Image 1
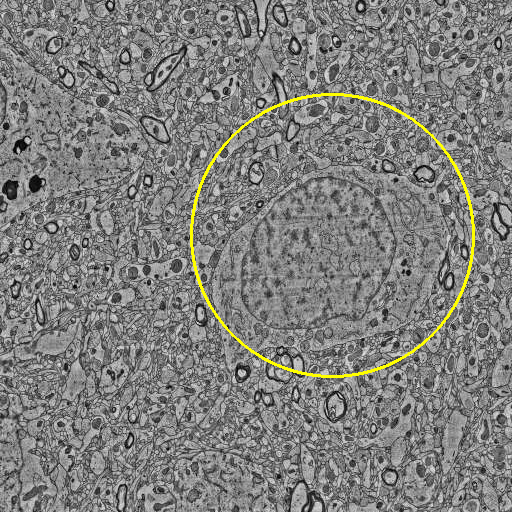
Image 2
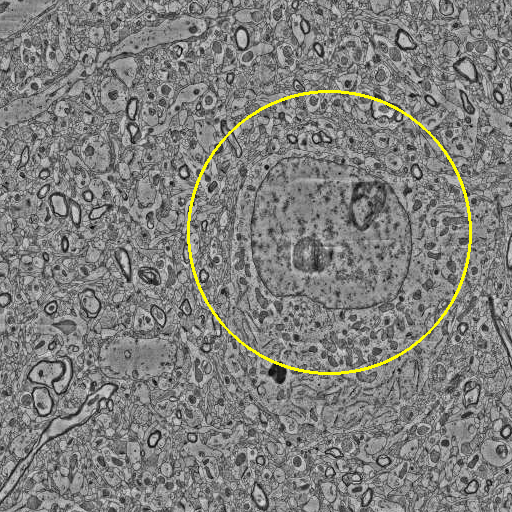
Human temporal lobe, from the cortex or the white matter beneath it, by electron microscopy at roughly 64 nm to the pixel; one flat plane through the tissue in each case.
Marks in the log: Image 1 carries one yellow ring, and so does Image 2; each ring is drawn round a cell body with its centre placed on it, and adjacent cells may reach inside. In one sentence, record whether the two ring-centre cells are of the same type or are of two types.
The two cells at the ring centres, one in each image, are of the same type.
